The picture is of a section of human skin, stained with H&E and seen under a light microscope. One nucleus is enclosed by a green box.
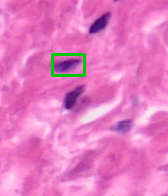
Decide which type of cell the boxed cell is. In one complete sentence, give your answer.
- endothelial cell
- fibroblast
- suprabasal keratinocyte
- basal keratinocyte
For the purposes of cell typing, the boxed cell is categorized as a fibroblast.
